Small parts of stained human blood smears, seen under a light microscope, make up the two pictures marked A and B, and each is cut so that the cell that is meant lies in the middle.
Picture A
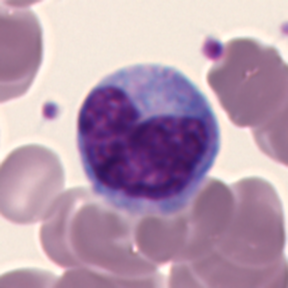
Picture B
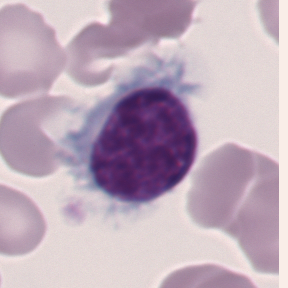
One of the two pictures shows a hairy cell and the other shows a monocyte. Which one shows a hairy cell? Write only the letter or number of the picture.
B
